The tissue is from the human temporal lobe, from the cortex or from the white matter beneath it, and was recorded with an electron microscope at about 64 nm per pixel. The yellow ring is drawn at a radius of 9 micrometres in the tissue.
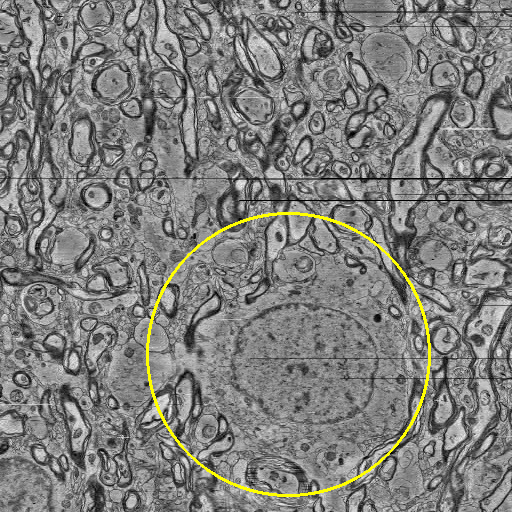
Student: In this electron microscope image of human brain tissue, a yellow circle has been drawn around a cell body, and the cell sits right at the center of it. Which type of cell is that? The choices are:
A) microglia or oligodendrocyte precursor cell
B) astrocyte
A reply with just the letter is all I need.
B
